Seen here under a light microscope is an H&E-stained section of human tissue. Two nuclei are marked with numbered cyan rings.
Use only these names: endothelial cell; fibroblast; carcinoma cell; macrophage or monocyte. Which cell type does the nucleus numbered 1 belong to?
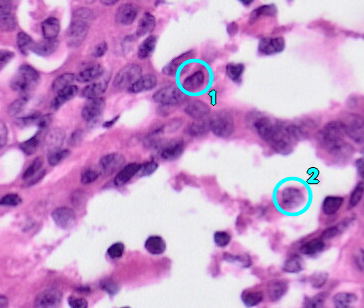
carcinoma cell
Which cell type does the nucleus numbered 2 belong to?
macrophage or monocyte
